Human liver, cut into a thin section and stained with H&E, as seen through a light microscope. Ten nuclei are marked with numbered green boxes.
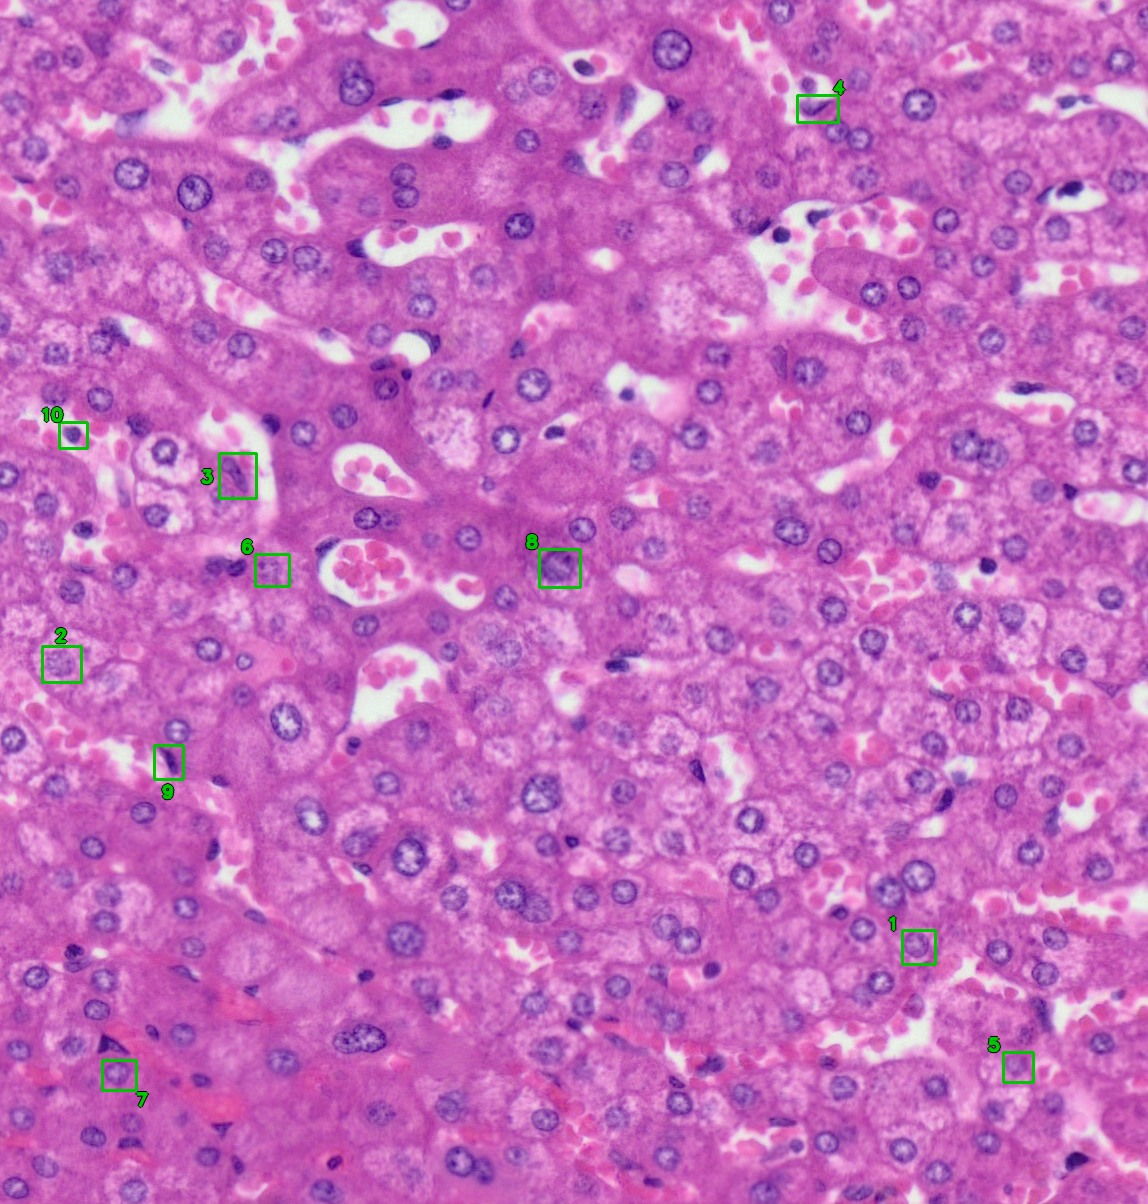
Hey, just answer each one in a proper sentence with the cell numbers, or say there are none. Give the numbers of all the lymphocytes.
The cell labelled 10 is a lymphocyte, while the remaining numbered cells are not.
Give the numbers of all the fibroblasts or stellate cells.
Cell 9 is the single numbered cell that is a fibroblast or stellate cell.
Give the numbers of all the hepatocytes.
The identity of cells 1, 2, 5, 6, 7 and 8: they are hepatocytes.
